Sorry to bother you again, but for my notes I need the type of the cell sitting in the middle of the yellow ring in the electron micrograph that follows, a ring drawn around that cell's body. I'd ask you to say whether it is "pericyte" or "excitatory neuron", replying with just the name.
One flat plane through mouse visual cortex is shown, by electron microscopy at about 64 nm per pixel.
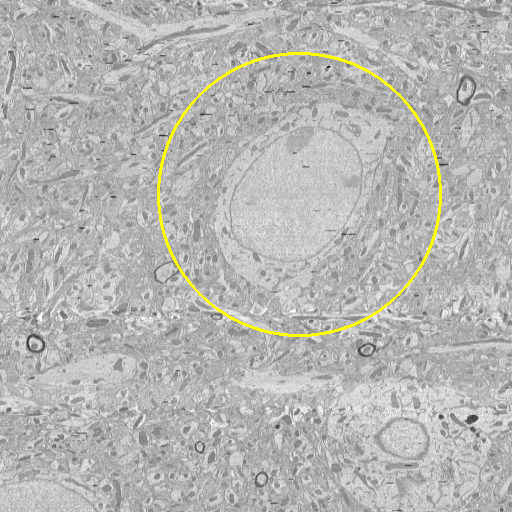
excitatory neuron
